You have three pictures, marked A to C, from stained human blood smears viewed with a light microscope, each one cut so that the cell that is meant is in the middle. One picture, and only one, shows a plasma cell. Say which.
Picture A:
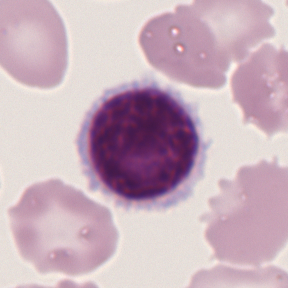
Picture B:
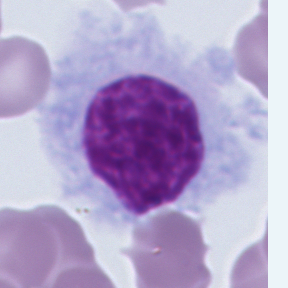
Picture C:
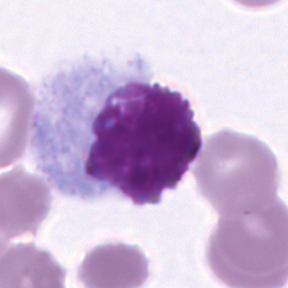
C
